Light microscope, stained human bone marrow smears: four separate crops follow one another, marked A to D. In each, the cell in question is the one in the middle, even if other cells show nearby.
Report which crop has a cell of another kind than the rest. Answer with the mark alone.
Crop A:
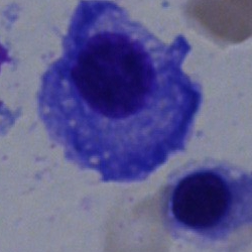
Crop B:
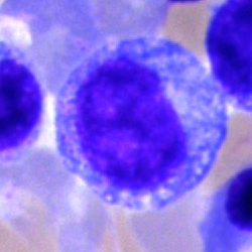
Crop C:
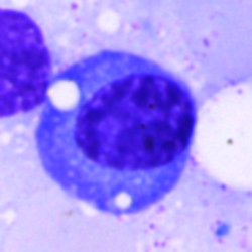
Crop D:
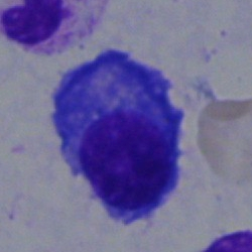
B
